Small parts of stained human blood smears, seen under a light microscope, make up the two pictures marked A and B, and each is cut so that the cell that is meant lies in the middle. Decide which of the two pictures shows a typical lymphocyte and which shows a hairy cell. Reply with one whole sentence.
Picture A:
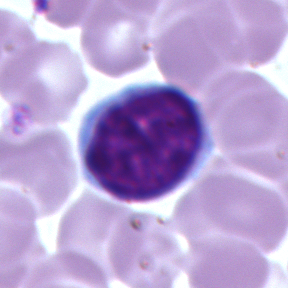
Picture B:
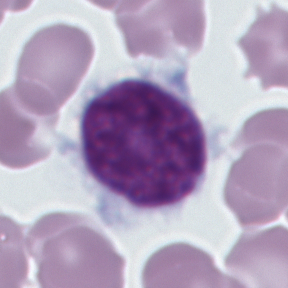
Picture A is of a typical lymphocyte, and picture B is of a hairy cell.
